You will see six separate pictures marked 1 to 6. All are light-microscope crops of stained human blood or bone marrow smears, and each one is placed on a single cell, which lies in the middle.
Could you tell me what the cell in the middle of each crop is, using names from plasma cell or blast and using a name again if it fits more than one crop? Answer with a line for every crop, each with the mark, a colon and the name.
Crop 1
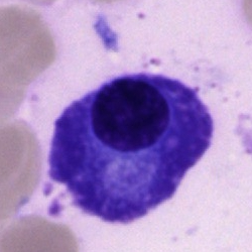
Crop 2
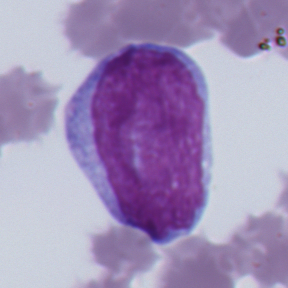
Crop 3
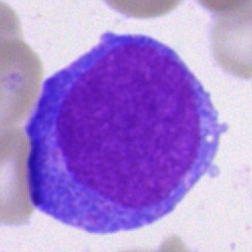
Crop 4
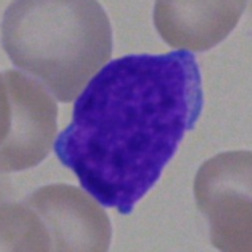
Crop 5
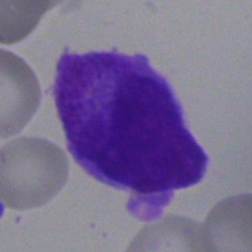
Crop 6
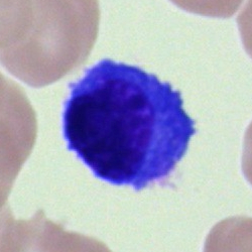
1: plasma cell
2: blast
3: blast
4: blast
5: blast
6: plasma cell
